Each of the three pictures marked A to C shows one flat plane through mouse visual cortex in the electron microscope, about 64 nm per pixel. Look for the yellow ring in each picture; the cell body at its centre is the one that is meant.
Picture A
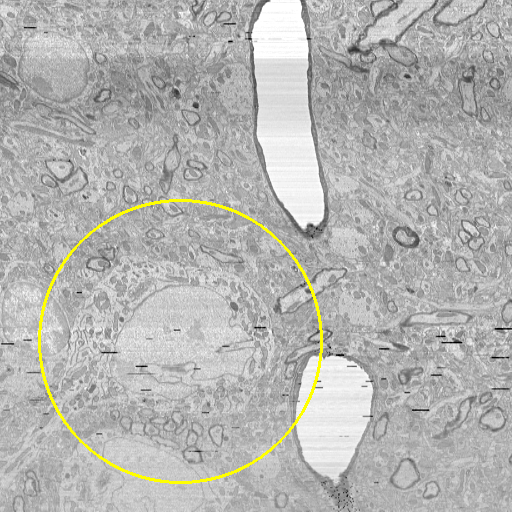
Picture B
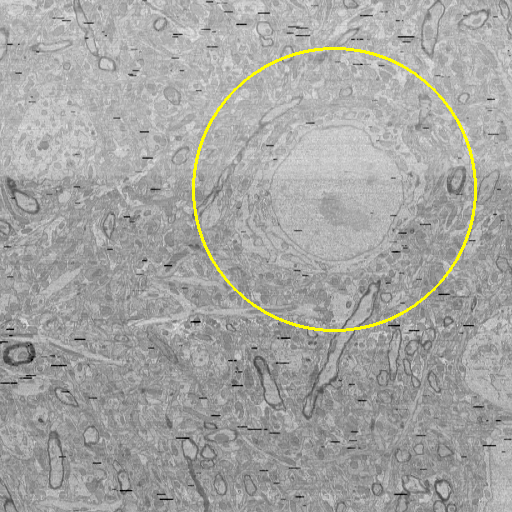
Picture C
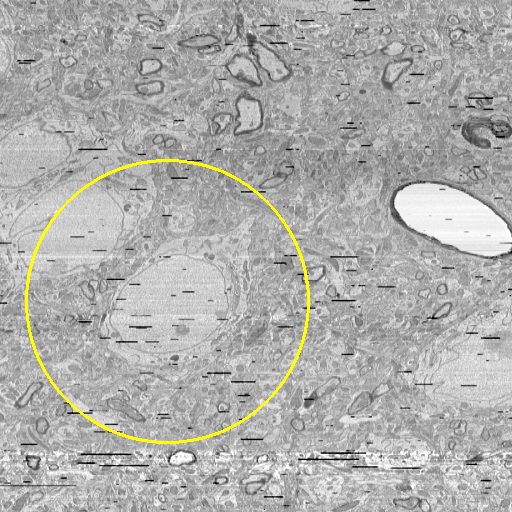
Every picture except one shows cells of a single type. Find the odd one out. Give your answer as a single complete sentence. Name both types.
Picture C is the odd one out: it shows an excitatory neuron, while the others show inhibitory neurons.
